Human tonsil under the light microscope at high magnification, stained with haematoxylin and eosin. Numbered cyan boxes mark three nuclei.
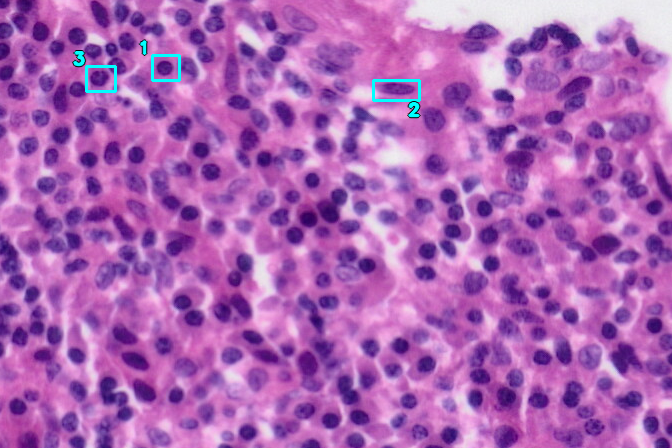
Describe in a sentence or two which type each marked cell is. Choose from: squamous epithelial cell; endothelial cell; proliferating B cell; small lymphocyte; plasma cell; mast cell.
Cells 1 and 3 are plasma cells. Cell 2 is a squamous epithelial cell.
